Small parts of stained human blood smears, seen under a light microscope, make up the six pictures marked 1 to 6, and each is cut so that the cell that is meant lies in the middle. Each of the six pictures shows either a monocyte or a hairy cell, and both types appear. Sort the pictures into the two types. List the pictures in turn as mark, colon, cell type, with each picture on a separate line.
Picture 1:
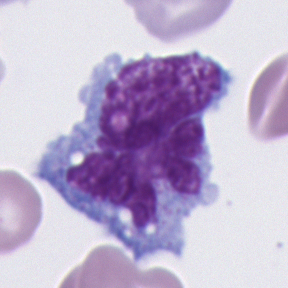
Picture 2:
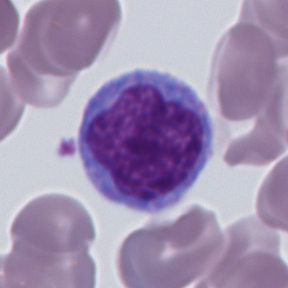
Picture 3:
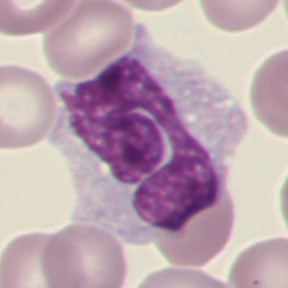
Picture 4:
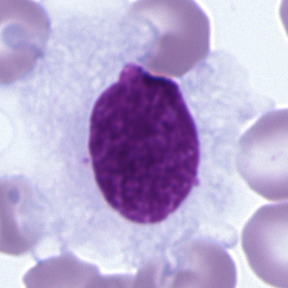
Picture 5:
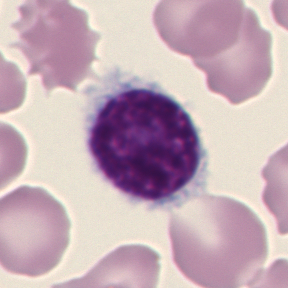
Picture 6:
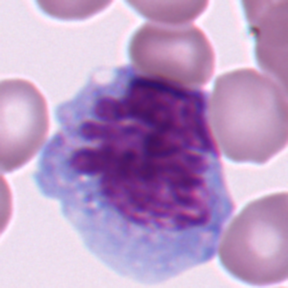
1: monocyte
2: monocyte
3: monocyte
4: hairy cell
5: hairy cell
6: monocyte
